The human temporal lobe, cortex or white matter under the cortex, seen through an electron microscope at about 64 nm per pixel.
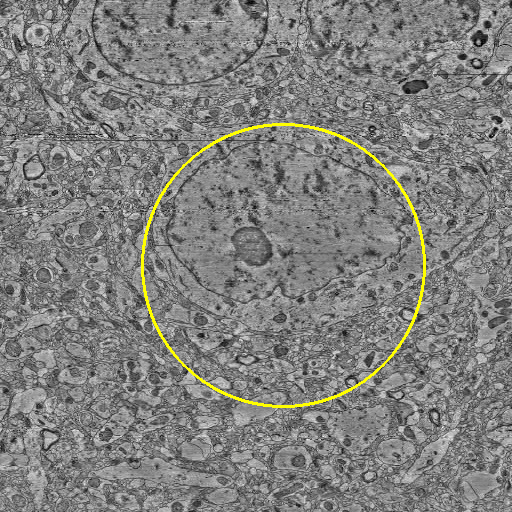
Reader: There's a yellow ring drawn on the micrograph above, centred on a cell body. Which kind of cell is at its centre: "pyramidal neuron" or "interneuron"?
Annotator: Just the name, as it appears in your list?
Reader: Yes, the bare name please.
pyramidal neuron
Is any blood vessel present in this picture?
No, no vessel appears in the picture.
